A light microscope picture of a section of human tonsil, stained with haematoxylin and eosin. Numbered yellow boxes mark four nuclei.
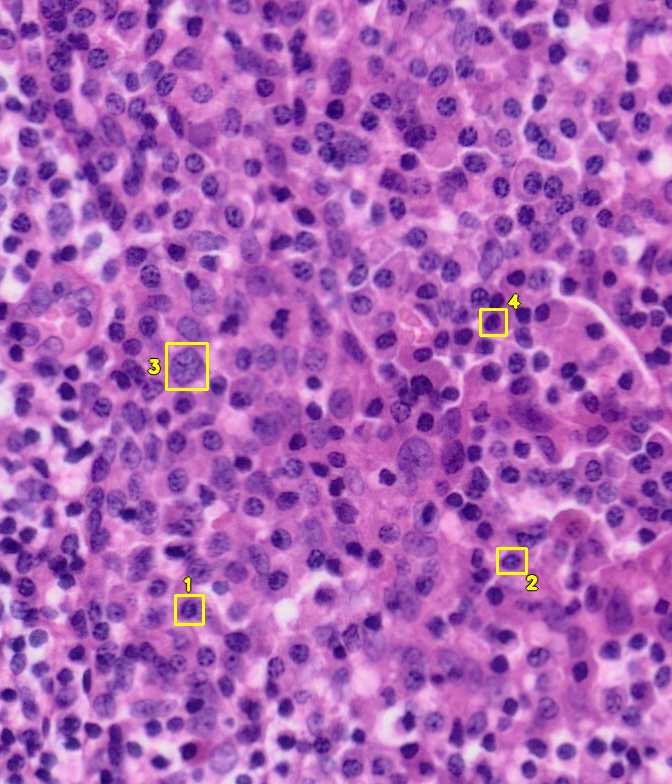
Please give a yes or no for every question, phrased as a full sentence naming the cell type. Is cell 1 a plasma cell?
Yes, what number 1 marks is a plasma cell.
